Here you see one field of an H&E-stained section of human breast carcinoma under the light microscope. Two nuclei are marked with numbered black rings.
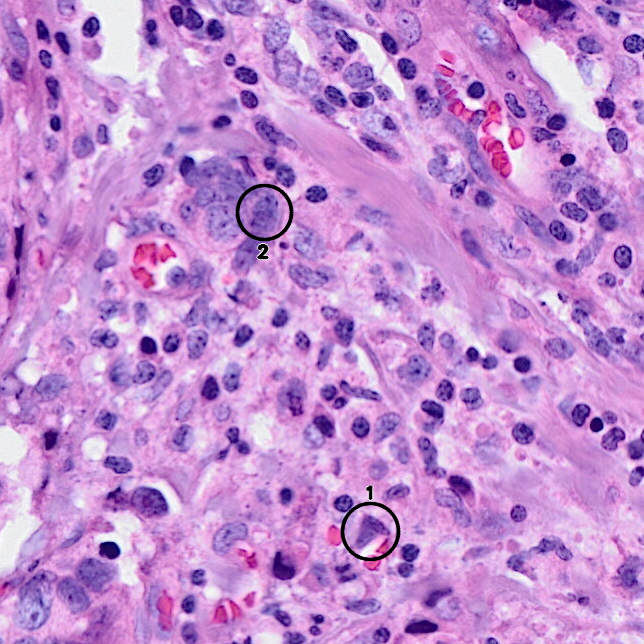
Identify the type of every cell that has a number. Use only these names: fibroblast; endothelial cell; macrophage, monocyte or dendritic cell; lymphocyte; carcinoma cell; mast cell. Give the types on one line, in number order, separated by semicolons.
endothelial cell; carcinoma cell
